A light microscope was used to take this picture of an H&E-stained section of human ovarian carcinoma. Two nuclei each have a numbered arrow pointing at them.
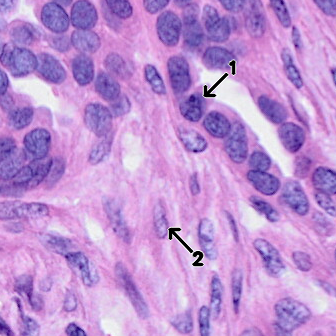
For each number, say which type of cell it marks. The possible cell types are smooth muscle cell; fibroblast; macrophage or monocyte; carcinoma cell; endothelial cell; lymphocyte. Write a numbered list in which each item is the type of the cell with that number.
1. carcinoma cell
2. fibroblast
